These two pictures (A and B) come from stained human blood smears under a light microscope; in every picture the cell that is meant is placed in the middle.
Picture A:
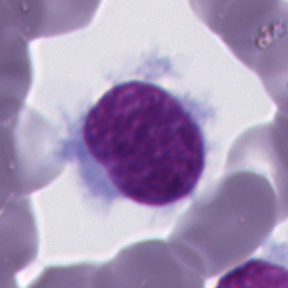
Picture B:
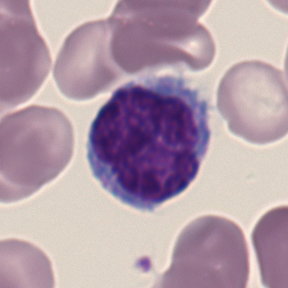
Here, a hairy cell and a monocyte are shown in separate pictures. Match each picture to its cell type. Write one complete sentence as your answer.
Picture B shows a monocyte, while picture A shows a hairy cell.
